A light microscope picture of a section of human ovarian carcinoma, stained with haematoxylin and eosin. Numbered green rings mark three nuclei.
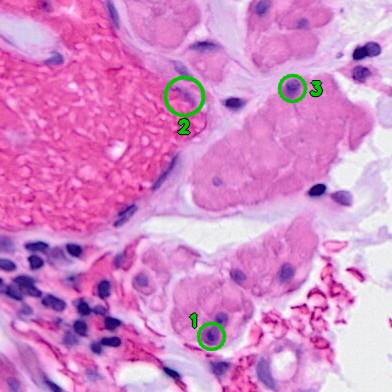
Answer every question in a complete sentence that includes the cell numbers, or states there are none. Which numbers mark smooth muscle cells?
Identification: the cells with numbers 1 and 3 are smooth muscle cells.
